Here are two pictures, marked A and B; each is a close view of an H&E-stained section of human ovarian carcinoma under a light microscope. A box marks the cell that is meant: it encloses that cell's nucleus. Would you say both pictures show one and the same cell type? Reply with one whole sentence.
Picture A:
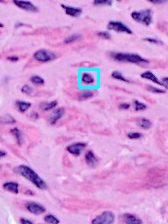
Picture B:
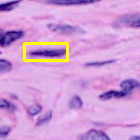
Yes, the two pictures both show smooth muscle cells.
